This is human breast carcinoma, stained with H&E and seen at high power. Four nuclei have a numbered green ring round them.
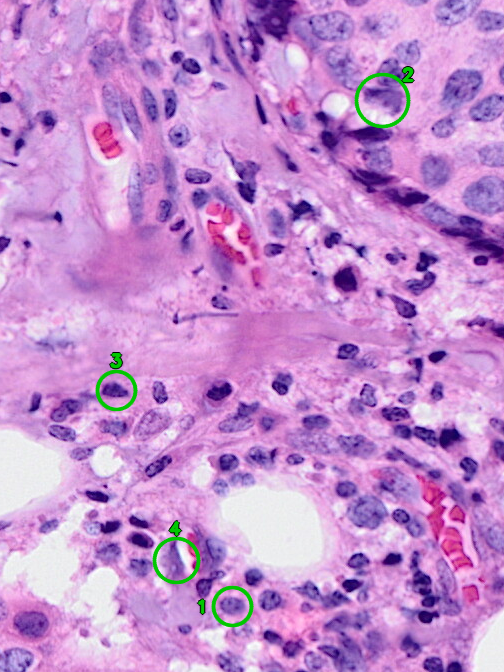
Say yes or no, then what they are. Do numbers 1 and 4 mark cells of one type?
No, cell 1 is a mast cell, with cell 4 being an endothelial cell.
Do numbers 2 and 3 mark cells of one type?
No, cell 2 is recognized as a carcinoma cell, and cell 3 as a lymphocyte.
